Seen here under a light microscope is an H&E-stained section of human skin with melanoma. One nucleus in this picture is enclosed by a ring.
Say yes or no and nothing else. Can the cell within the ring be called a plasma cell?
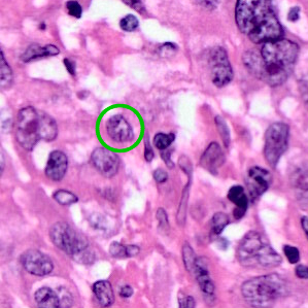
no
